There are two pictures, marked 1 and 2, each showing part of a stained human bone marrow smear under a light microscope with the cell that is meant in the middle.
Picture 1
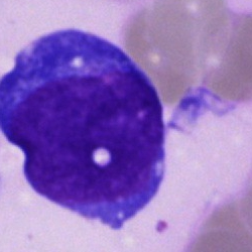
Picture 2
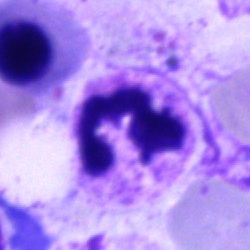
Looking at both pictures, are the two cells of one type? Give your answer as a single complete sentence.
No, the types are not the same, since picture 1 shows a proerythroblast and picture 2 a segmented neutrophil.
